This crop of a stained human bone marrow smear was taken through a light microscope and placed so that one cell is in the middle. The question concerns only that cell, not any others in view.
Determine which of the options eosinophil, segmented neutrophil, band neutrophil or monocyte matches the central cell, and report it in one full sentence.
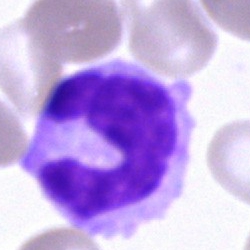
Present in the middle of the crop is a monocyte.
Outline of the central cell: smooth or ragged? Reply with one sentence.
It is the contour of the cell that is irregular, being ragged or projecting outward.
